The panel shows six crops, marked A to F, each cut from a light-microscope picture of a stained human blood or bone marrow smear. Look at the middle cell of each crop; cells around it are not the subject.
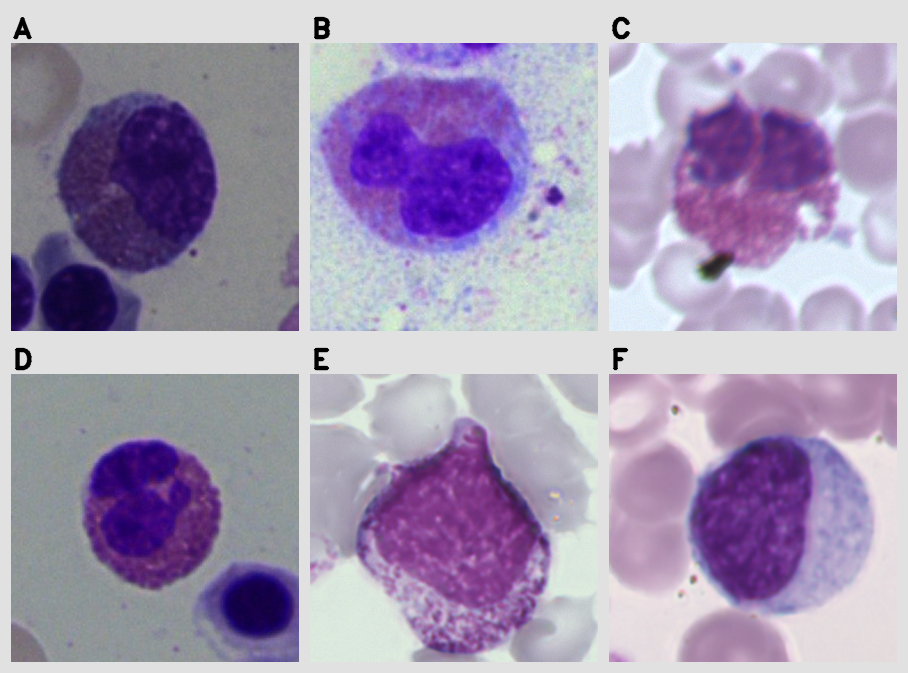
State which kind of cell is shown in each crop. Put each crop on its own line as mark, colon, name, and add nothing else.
A: eosinophil
B: eosinophil
C: eosinophil
D: eosinophil
E: promyelocyte
F: promyelocyte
